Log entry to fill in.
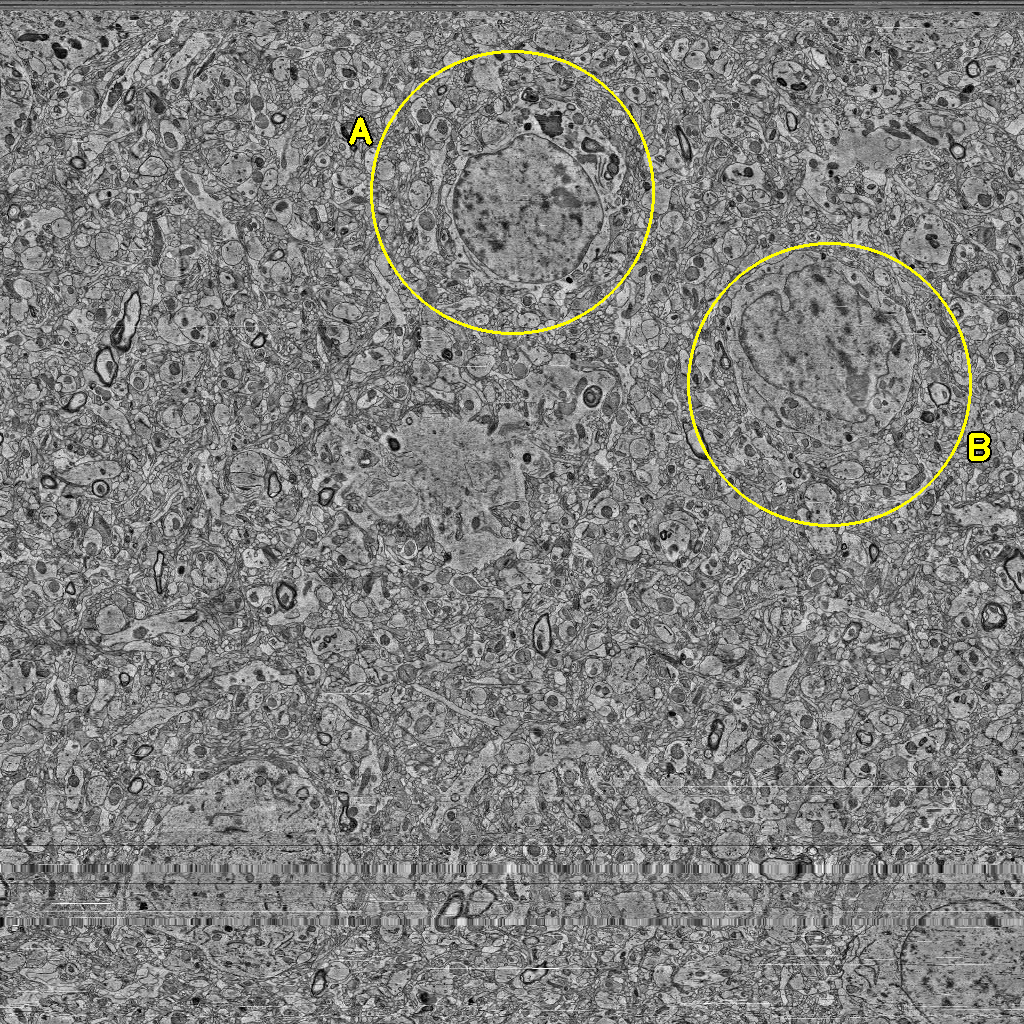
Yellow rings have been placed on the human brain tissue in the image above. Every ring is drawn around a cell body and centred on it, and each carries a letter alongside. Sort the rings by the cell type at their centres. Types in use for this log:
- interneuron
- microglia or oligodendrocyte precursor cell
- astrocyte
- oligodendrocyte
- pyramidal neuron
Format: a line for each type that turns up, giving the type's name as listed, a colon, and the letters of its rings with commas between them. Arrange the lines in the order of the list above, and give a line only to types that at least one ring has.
interneuron: B
astrocyte: A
